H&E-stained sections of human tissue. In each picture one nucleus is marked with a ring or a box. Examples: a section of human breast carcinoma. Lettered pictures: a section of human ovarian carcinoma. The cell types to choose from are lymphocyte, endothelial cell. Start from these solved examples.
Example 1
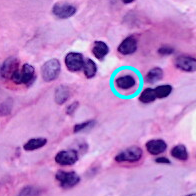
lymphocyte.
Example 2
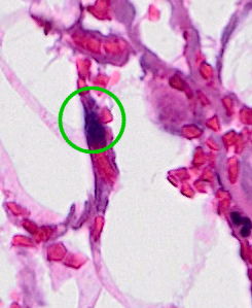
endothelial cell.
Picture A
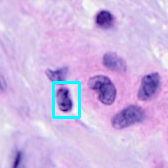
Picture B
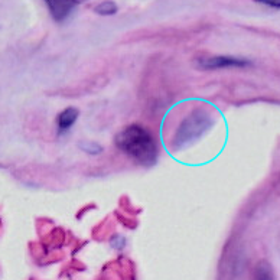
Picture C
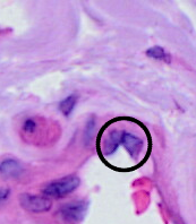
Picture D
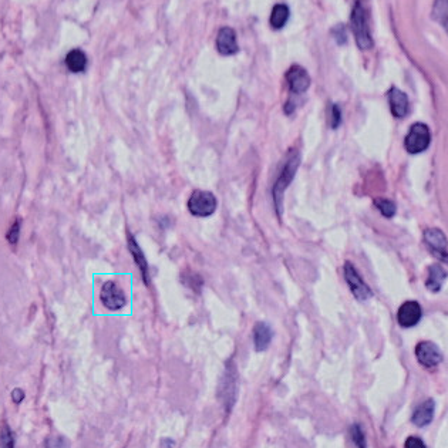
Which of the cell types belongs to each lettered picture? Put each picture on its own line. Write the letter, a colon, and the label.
A: lymphocyte.
B: endothelial cell.
C: endothelial cell.
D: lymphocyte.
